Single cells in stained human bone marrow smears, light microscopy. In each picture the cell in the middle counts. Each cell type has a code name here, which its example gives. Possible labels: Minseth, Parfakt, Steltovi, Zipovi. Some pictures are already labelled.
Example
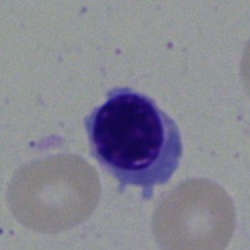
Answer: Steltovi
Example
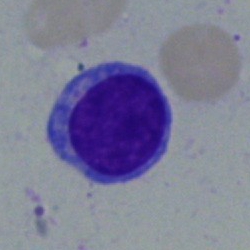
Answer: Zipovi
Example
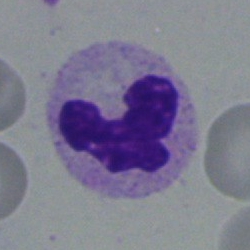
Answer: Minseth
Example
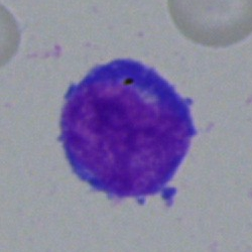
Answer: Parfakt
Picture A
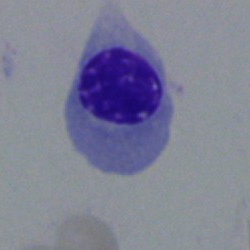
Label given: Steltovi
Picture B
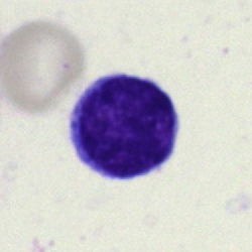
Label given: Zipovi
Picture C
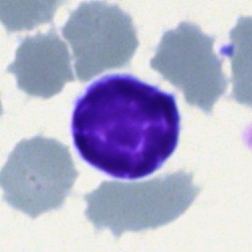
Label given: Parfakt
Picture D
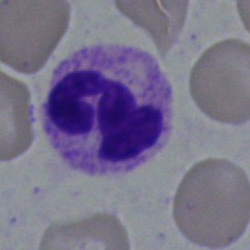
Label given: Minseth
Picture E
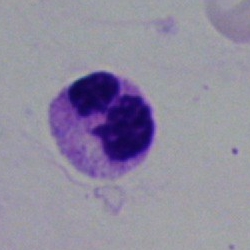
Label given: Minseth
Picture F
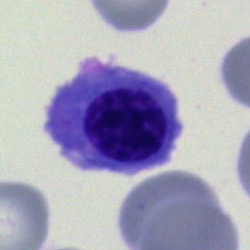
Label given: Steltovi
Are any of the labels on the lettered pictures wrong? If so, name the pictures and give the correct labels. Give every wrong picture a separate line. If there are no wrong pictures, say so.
C is labelled Parfakt; correct label: Zipovi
